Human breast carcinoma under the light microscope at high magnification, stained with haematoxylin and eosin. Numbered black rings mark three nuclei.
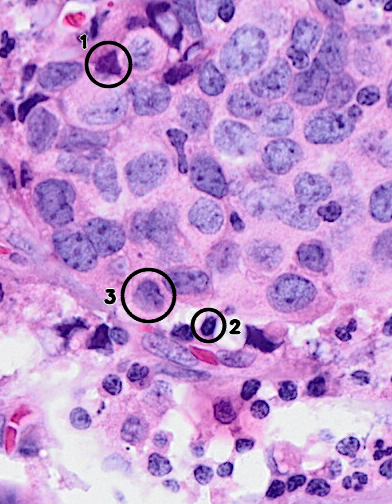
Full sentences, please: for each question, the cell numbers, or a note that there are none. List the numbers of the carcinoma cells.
Here, the cells that carry numbers 1 and 3 are carcinoma cells.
